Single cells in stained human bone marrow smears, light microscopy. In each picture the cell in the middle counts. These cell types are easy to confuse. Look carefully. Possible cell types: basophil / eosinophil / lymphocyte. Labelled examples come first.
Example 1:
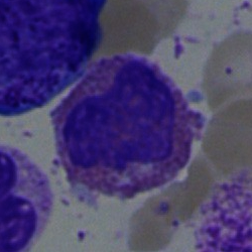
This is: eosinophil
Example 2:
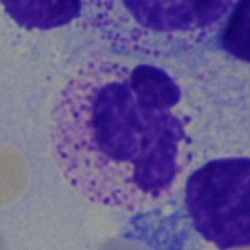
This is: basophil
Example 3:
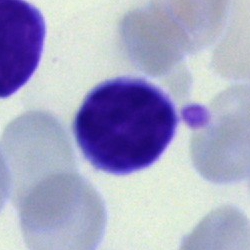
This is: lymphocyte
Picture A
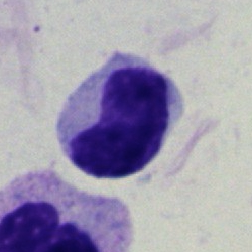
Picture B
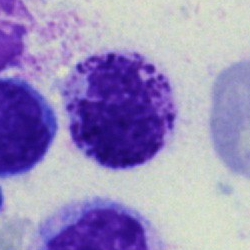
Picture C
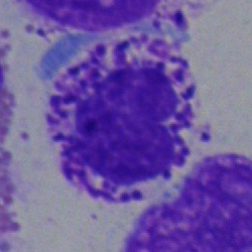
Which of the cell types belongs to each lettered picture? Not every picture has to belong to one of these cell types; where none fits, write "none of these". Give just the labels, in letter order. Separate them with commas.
lymphocyte, basophil, basophil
